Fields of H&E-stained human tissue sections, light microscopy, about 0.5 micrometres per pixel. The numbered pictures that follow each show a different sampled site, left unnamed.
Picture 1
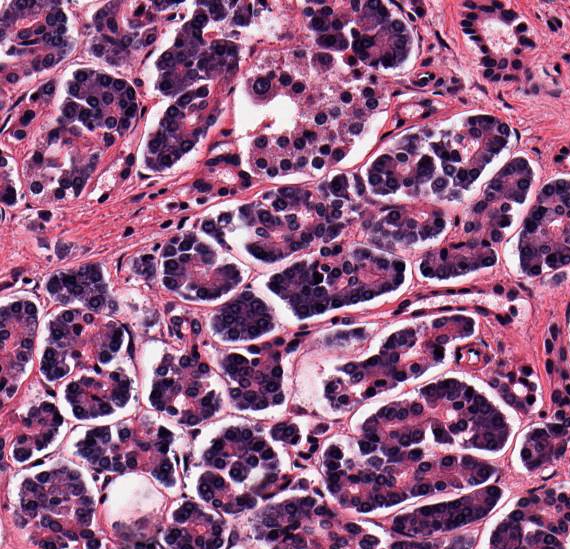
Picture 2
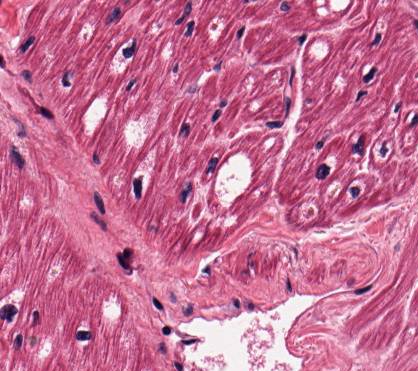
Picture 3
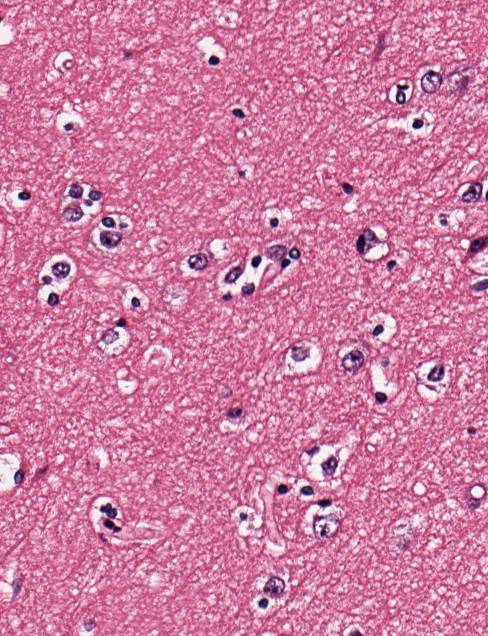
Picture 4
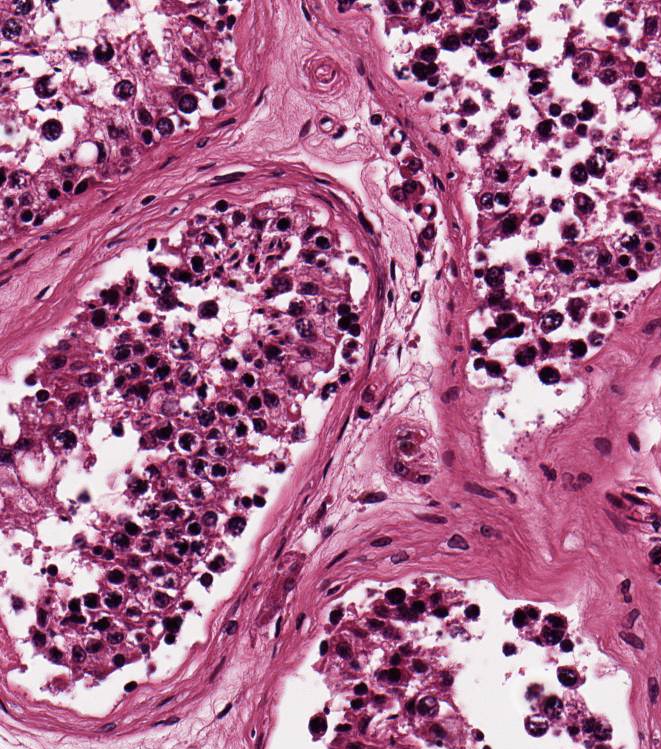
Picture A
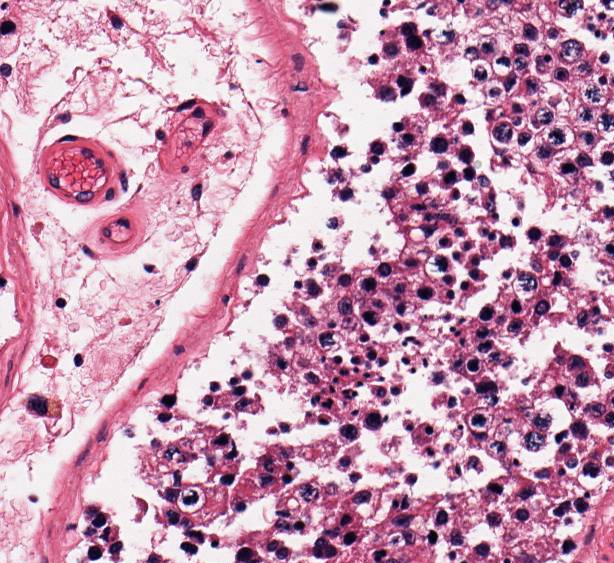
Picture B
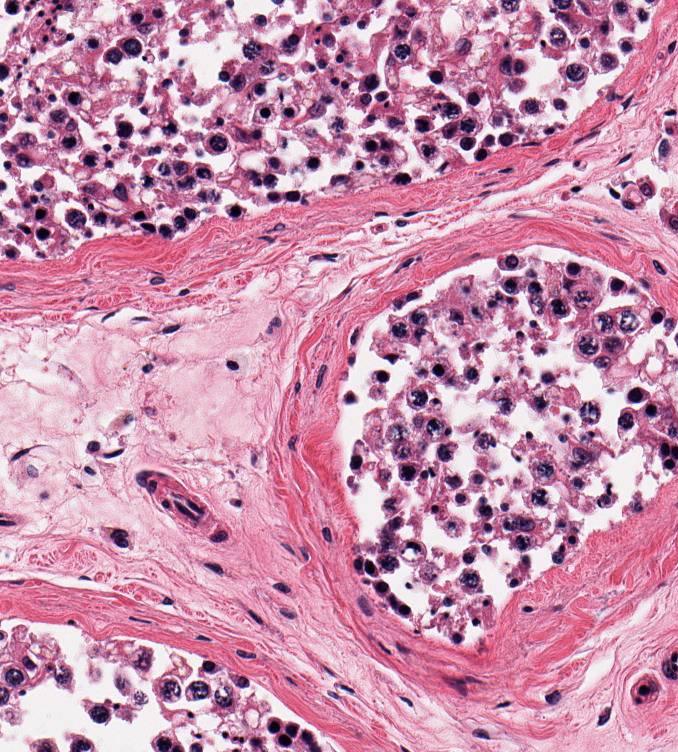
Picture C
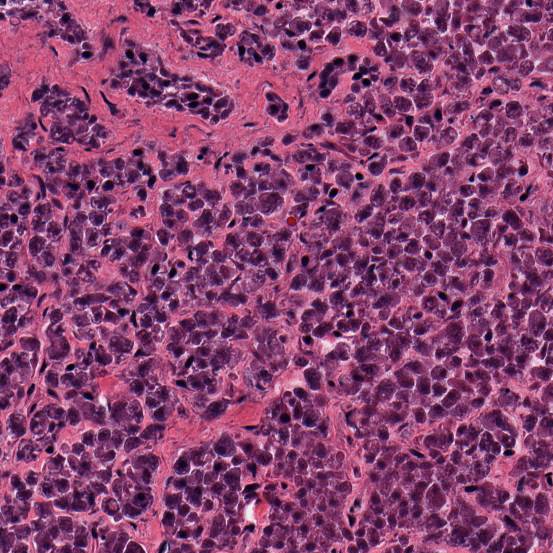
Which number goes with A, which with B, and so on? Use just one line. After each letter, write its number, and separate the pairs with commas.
A 4, B 4, C 1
